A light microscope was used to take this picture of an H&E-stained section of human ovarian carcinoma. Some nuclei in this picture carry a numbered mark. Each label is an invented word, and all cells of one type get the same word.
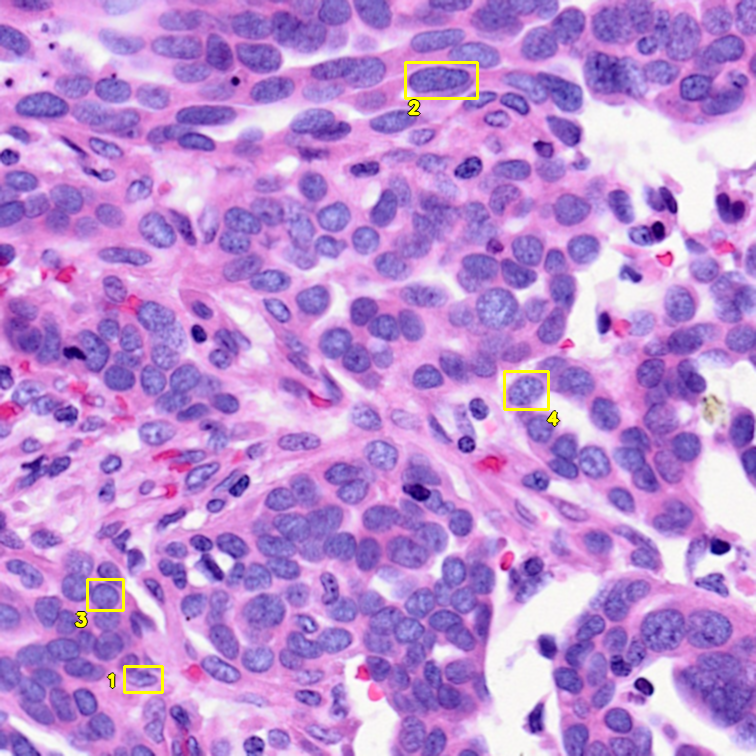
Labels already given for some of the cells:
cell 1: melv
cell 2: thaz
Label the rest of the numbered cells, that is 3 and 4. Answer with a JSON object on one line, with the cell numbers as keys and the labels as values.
{"3": "thaz", "4": "thaz"}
